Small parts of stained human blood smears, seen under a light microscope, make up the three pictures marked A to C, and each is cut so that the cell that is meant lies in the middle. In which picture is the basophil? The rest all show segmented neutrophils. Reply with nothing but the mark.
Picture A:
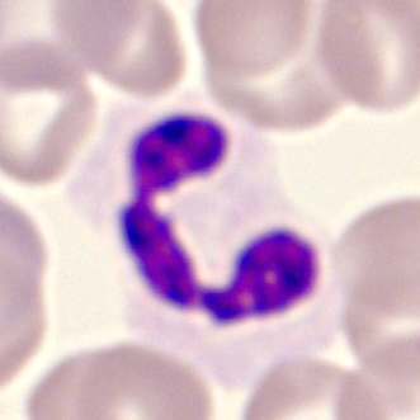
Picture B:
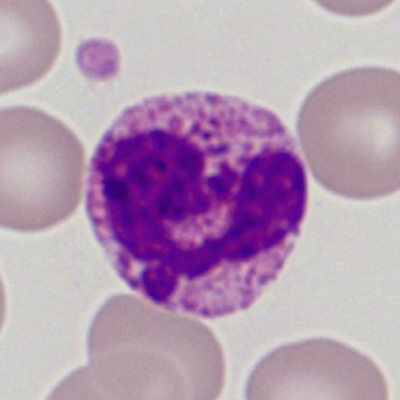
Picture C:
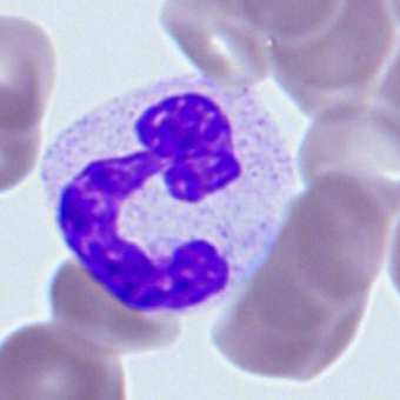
B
